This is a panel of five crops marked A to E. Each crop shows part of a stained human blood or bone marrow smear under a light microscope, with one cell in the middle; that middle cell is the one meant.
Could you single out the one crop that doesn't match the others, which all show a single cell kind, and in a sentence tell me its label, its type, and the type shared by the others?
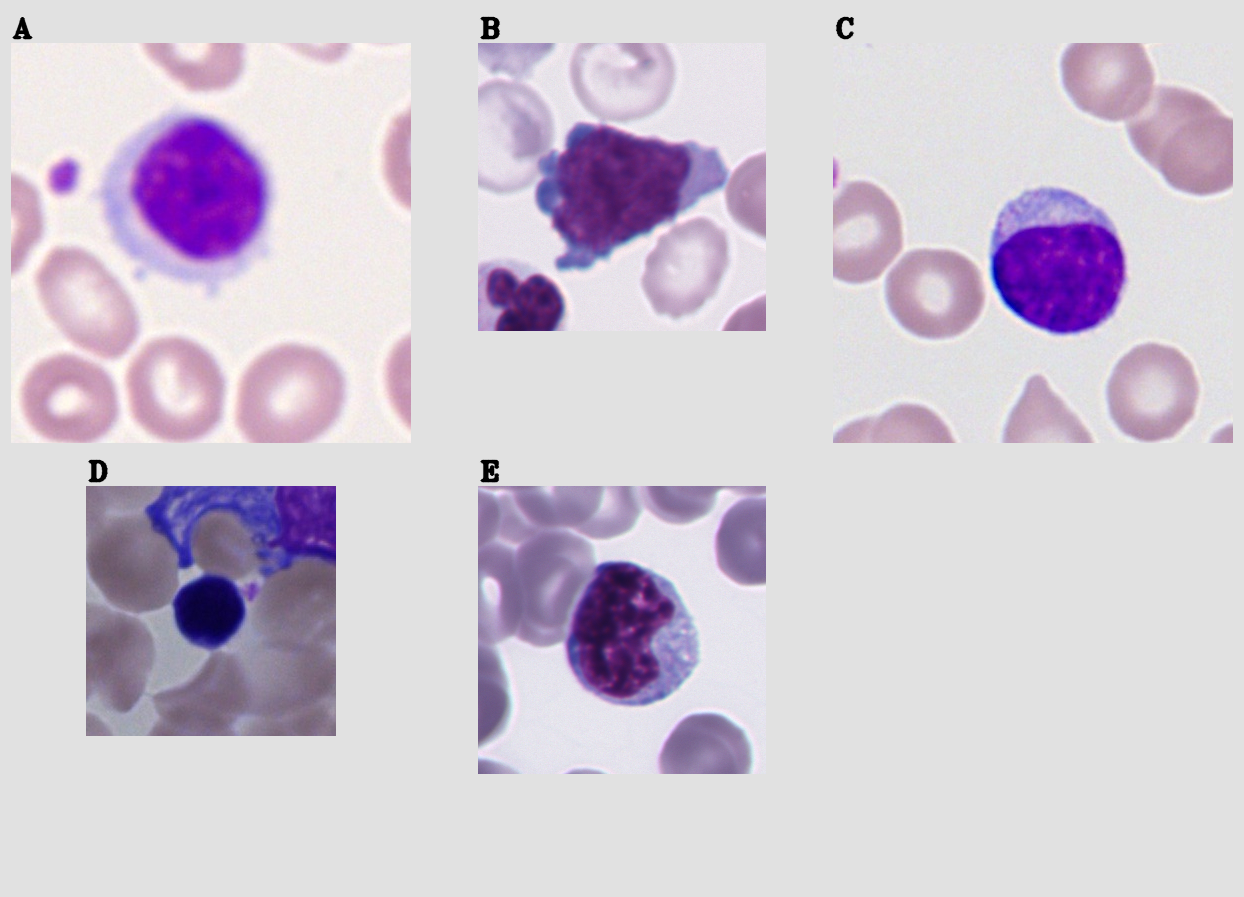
Crop B shows a blast, while all of the others show lymphocytes.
